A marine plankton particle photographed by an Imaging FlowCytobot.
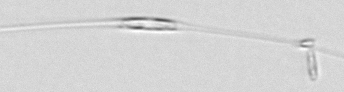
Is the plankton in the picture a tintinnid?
No, it is Cylindrotheca.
